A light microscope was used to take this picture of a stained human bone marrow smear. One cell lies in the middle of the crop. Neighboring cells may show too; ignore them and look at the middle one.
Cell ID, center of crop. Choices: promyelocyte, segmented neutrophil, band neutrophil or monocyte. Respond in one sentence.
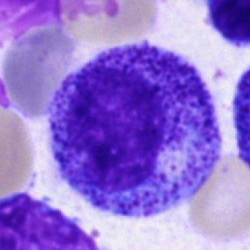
The cell of interest, located centrally, is a promyelocyte.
